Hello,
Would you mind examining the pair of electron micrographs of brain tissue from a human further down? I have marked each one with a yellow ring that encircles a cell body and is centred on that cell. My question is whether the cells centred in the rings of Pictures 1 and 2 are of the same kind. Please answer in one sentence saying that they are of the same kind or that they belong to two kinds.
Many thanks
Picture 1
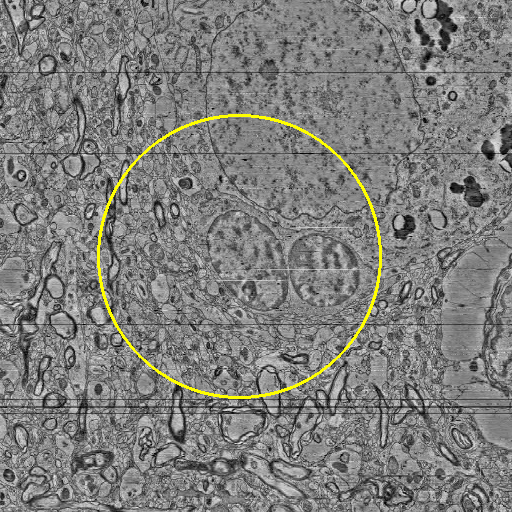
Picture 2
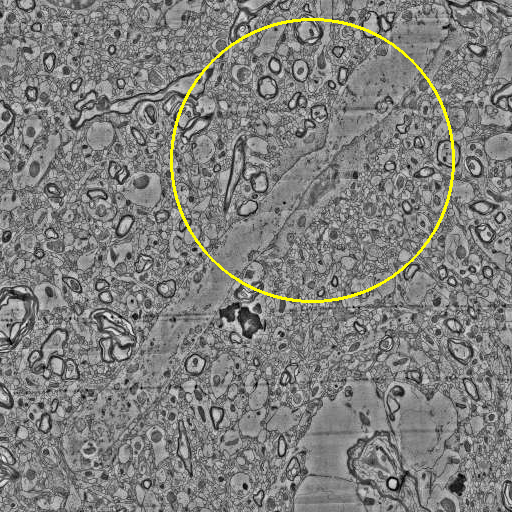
In Pictures 1 and 2, the cells at the heart of the rings are of the same kind.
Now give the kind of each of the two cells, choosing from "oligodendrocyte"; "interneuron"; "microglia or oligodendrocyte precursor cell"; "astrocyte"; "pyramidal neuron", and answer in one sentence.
Each cell at the centre of a ring is an oligodendrocyte.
